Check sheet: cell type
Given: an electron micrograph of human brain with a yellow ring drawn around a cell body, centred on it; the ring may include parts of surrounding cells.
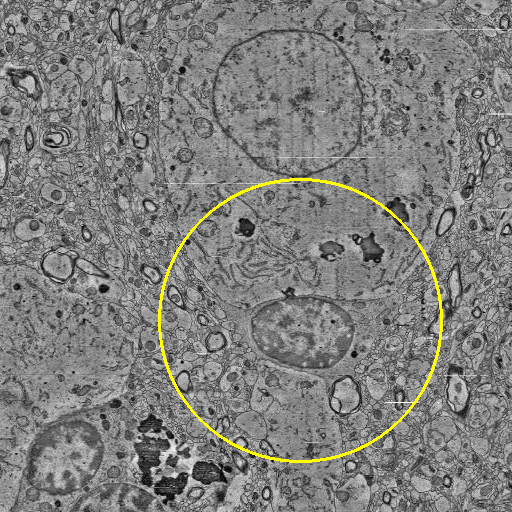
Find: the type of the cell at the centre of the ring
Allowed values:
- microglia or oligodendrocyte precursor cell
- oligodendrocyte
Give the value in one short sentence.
Here the ringed cell is an oligodendrocyte.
